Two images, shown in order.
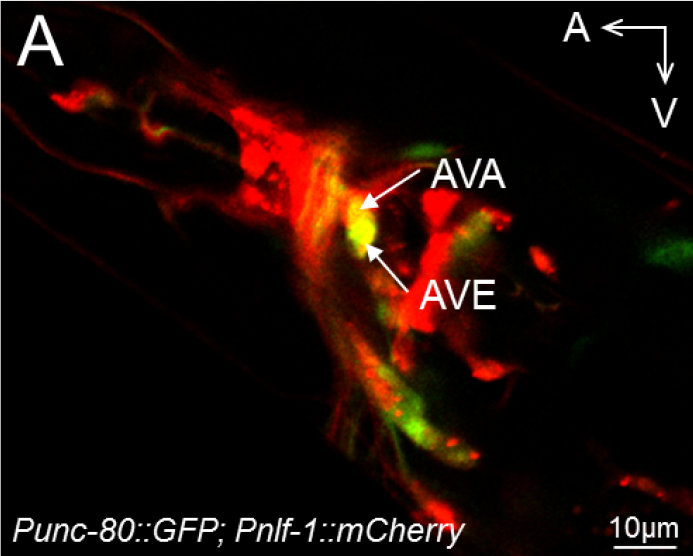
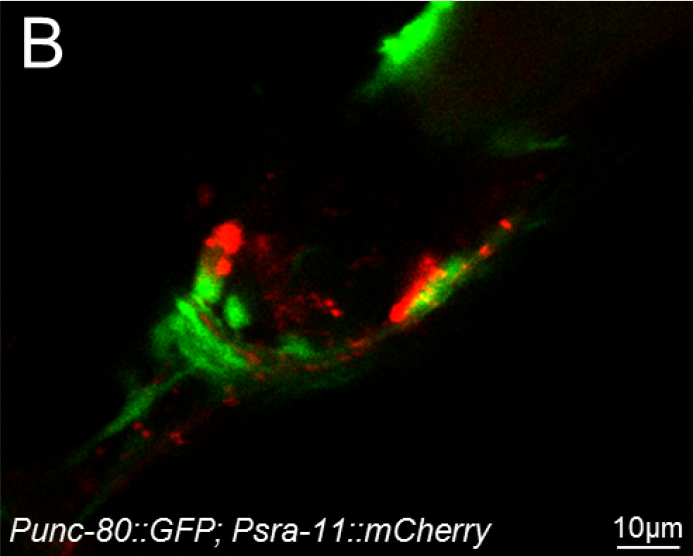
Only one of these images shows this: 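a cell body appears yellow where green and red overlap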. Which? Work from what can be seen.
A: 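Second image: red cell bodies and green structures lie mostly apart, with no clearly yellow cell body. First image: a yellow cell body lies at the tips of the arrows. That points to this answer: the first image.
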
